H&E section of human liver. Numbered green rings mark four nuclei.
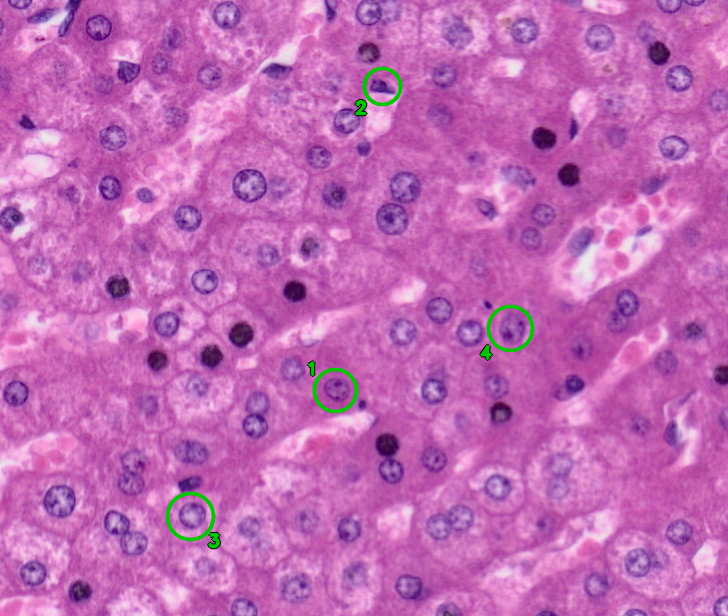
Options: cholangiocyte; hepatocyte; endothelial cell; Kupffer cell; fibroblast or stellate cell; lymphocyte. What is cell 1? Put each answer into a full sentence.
The cell indicated with the number 1 is classed as a hepatocyte.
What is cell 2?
Heads up, the cell numbered 2 is an endothelial cell.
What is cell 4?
Cell 4 in the field of view is a hepatocyte.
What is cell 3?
Recognised here as a hepatocyte is the cell numbered 3.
